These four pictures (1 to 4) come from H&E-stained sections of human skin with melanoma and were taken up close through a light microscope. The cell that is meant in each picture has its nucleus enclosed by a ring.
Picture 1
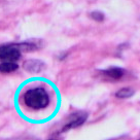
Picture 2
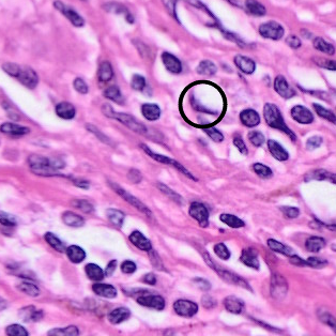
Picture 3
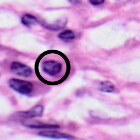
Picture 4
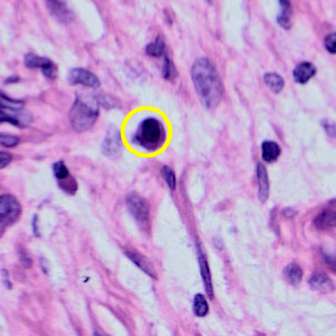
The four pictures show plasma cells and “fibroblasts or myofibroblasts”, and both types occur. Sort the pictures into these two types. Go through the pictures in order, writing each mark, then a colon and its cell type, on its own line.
1: plasma cell
2: fibroblast or myofibroblast
3: plasma cell
4: plasma cell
